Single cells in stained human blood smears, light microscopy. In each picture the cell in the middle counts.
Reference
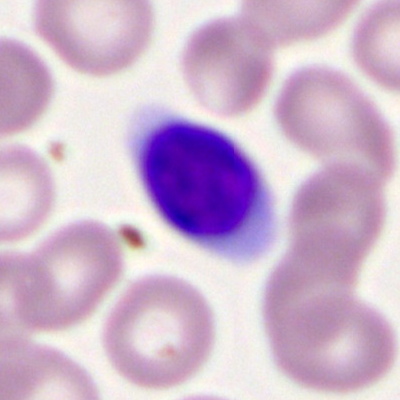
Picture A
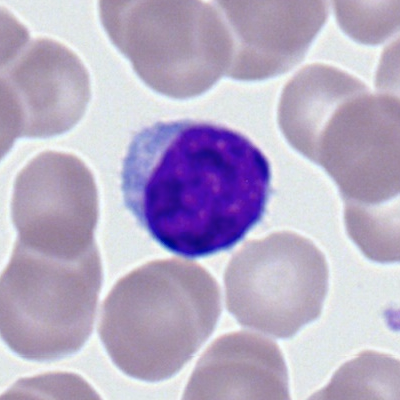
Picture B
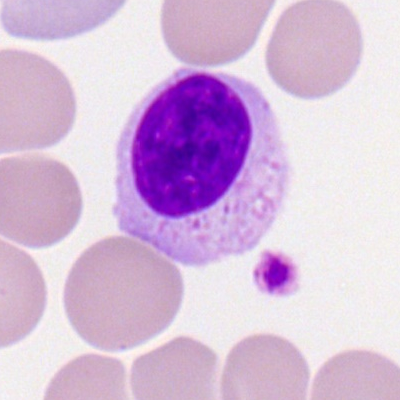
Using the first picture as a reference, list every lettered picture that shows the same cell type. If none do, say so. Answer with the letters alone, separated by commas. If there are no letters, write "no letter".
A, B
